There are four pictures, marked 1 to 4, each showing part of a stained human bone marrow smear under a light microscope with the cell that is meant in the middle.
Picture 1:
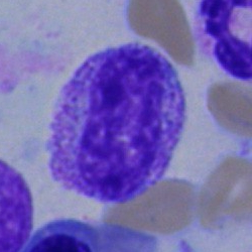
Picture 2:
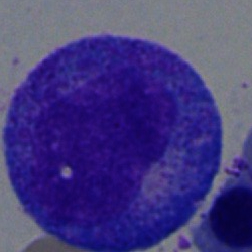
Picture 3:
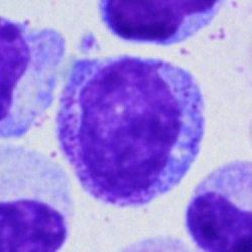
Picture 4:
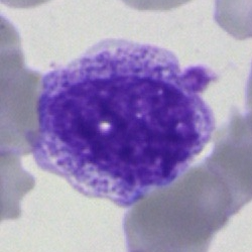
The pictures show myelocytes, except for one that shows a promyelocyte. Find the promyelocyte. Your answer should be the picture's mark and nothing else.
2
